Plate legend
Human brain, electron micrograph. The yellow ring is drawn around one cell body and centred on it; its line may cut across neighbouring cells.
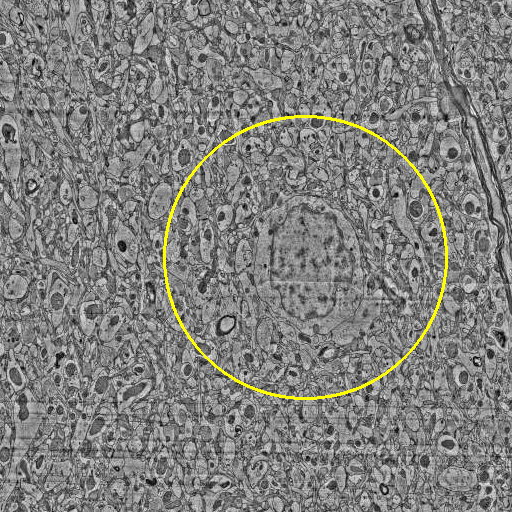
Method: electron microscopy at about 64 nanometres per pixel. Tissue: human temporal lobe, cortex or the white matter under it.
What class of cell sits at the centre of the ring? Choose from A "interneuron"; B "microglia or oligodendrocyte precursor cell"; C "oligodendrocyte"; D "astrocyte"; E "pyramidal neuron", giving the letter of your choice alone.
A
